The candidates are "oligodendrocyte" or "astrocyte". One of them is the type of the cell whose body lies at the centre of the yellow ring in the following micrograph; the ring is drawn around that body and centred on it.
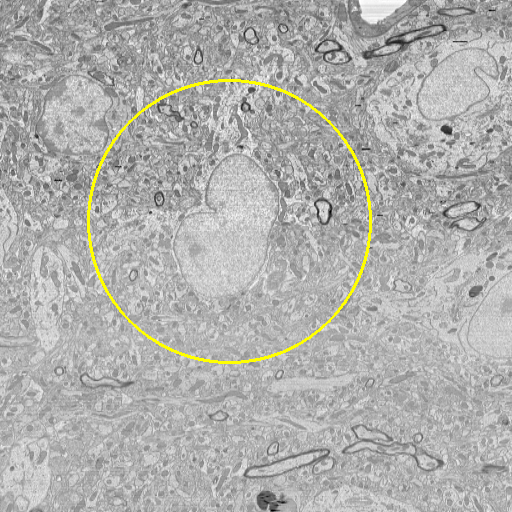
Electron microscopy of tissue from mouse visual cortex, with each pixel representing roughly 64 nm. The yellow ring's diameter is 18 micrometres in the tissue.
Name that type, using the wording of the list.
astrocyte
